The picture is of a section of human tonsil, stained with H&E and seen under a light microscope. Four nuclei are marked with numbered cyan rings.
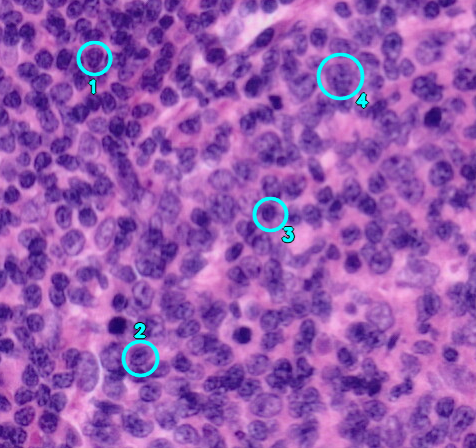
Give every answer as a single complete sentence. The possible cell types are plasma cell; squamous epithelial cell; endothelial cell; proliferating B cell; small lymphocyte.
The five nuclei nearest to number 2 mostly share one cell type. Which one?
Proliferating B cells account for more than half of the five nuclei nearest to number 2.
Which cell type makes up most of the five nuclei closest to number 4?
Around number 4, most of the five nearest nuclei are those of proliferating B cells.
